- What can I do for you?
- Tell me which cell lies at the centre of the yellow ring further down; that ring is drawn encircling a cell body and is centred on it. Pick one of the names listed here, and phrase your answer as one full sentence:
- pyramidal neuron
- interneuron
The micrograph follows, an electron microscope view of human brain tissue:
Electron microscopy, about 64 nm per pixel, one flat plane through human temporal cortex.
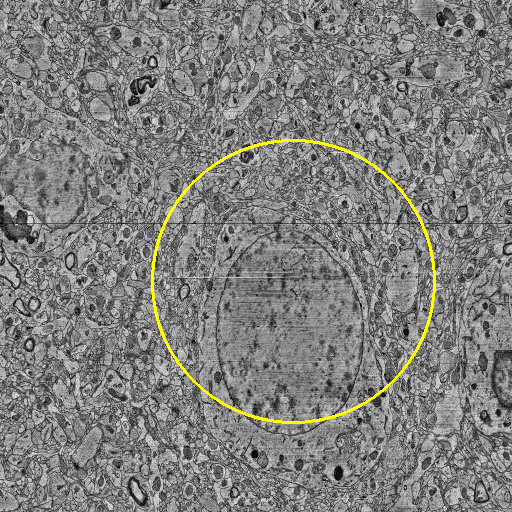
The cell whose body lies at the centre of the yellow ring is a pyramidal neuron.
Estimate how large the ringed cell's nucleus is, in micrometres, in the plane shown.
Roughly 13 by 10 micrometres in this plane, for the nucleus of the ringed cell.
